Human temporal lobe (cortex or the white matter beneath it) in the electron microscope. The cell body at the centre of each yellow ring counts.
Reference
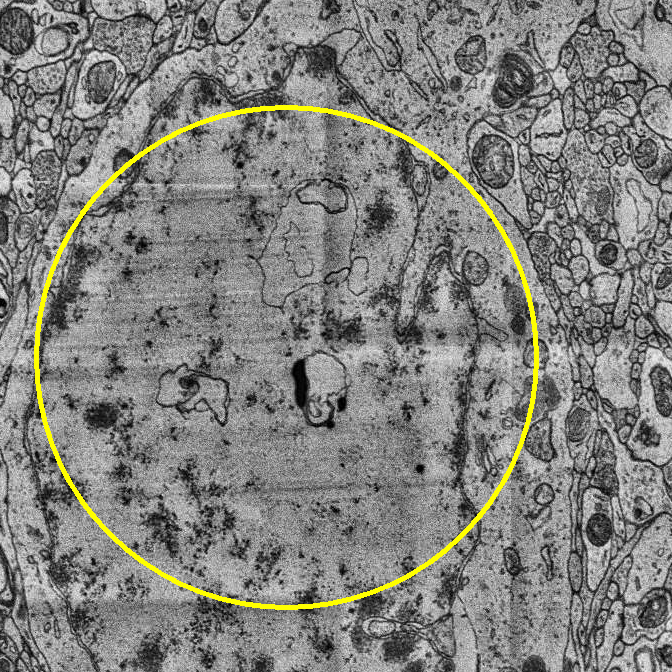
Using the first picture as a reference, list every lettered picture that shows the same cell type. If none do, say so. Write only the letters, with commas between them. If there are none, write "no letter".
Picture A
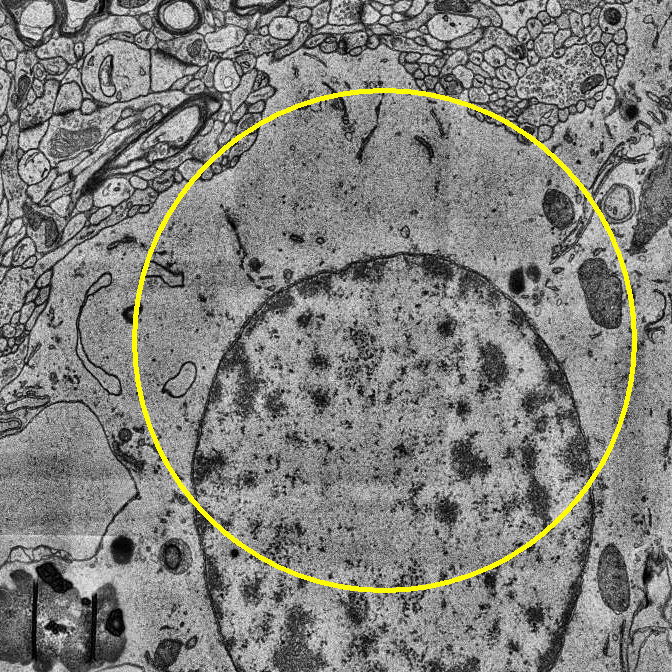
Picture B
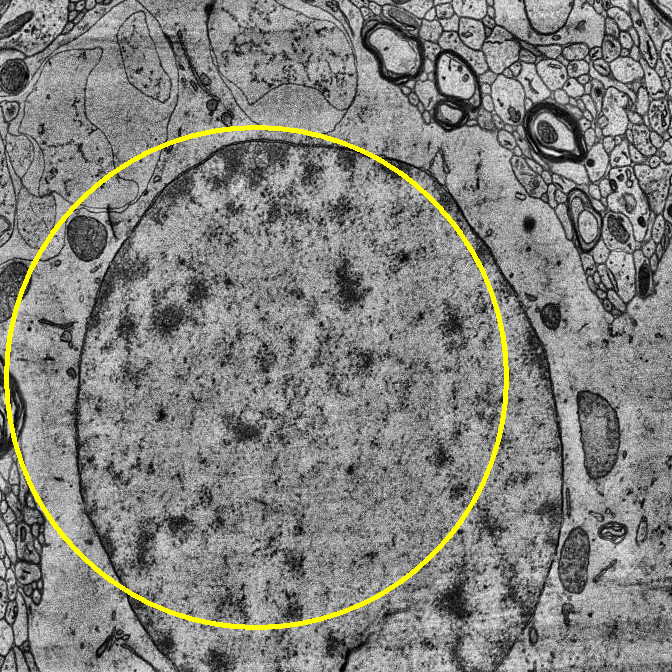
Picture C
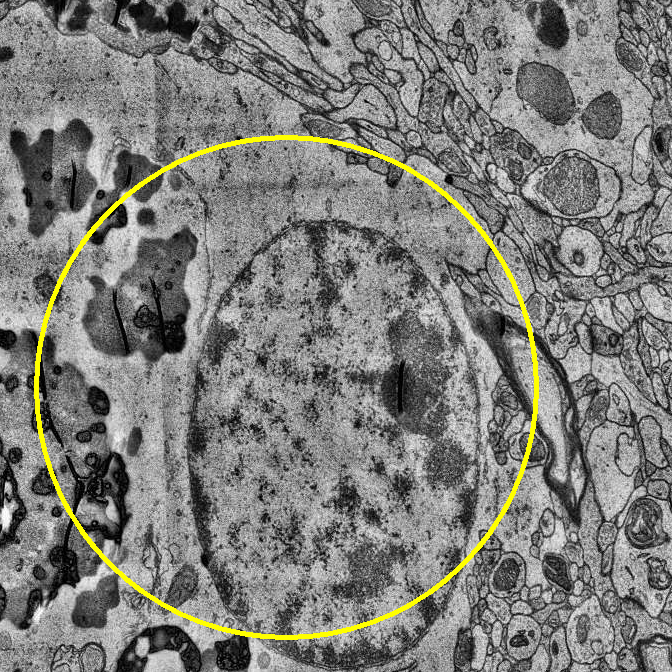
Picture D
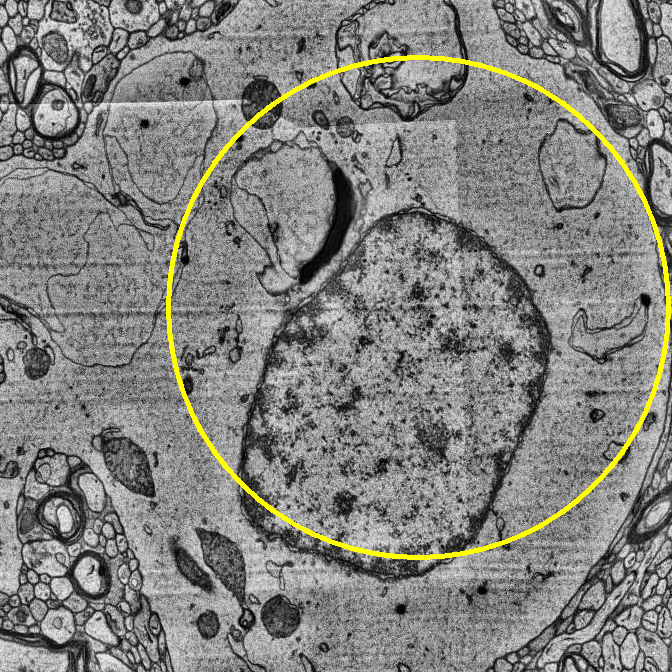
no letter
